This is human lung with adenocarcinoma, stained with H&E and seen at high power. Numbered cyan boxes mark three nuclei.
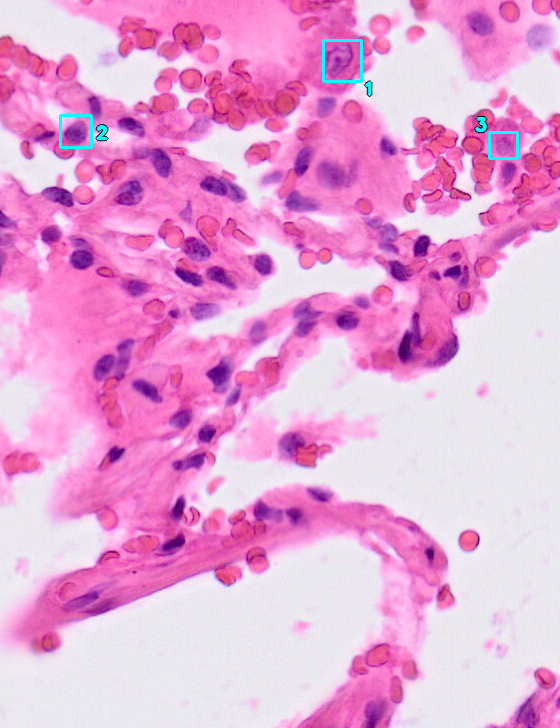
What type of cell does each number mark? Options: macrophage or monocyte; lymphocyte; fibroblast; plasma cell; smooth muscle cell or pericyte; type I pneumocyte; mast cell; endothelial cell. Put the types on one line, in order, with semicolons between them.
macrophage or monocyte; type I pneumocyte; macrophage or monocyte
